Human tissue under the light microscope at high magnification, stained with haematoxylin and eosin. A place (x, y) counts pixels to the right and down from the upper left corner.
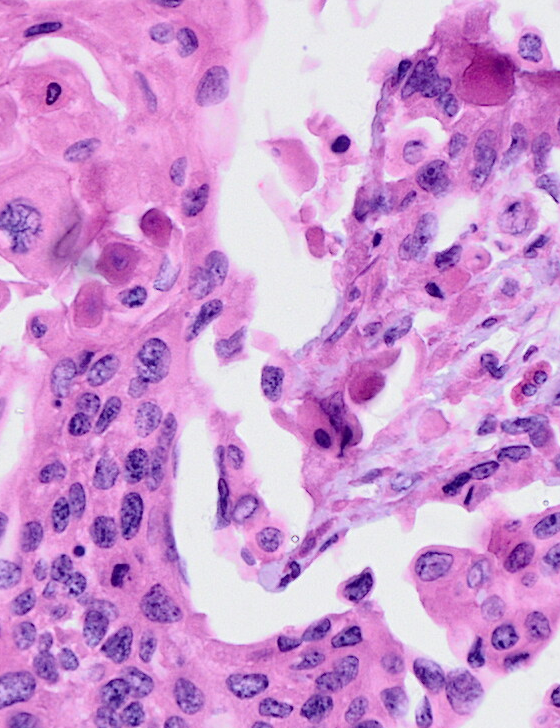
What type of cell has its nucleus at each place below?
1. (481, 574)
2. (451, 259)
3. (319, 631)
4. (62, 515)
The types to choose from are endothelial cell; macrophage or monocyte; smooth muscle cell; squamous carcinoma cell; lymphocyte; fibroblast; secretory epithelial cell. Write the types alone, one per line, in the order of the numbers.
squamous carcinoma cell
macrophage or monocyte
squamous carcinoma cell
squamous carcinoma cell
